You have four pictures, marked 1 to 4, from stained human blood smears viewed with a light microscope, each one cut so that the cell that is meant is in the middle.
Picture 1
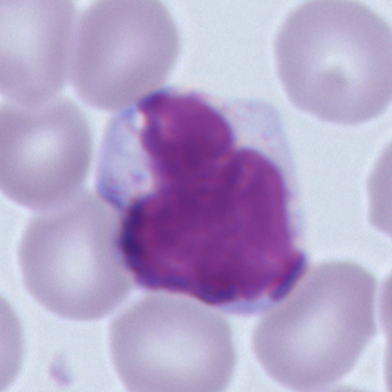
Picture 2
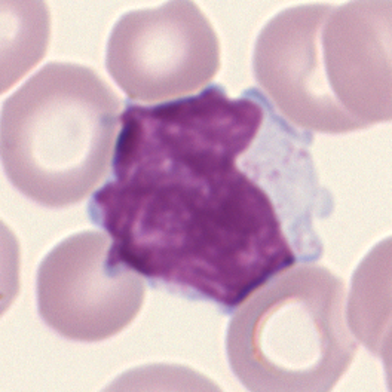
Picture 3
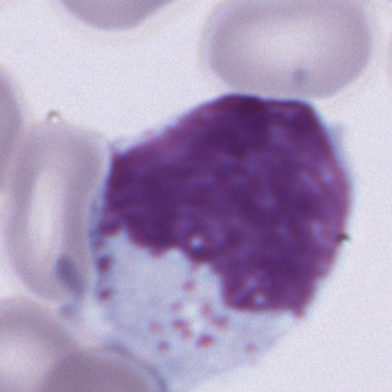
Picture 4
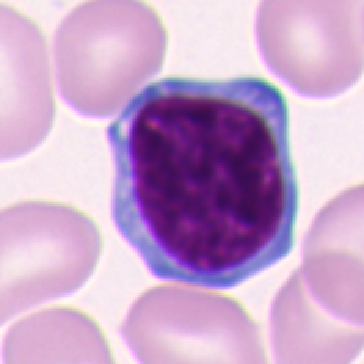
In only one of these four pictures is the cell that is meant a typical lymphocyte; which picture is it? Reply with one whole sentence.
Picture 4 is the one that shows the typical lymphocyte.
